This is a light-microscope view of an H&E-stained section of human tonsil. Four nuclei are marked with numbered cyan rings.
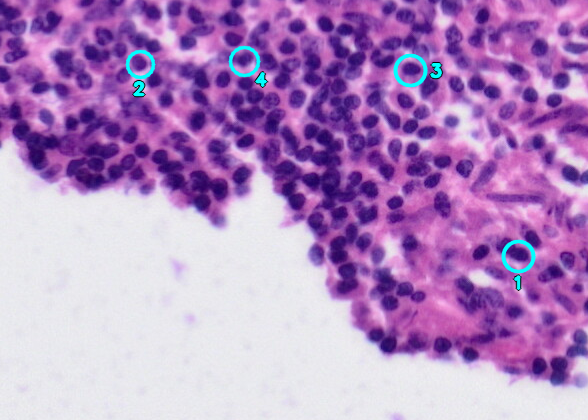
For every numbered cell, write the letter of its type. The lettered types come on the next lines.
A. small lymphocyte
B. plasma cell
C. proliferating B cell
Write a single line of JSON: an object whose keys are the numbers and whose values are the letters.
{"1": "B", "2": "A", "3": "B", "4": "A"}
